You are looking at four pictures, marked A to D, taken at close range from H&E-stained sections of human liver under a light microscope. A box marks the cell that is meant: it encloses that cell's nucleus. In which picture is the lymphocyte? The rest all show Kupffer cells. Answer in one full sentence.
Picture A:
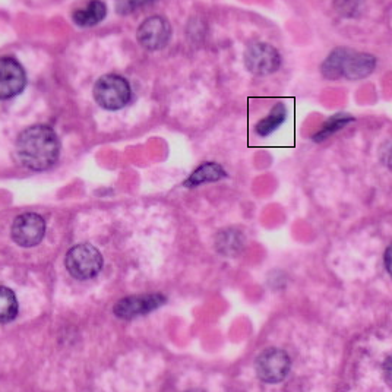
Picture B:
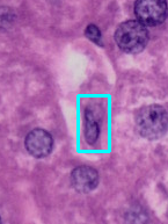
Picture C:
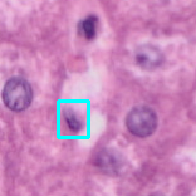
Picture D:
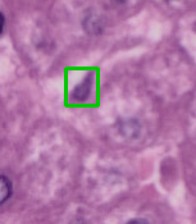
The picture with the lymphocyte is A.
